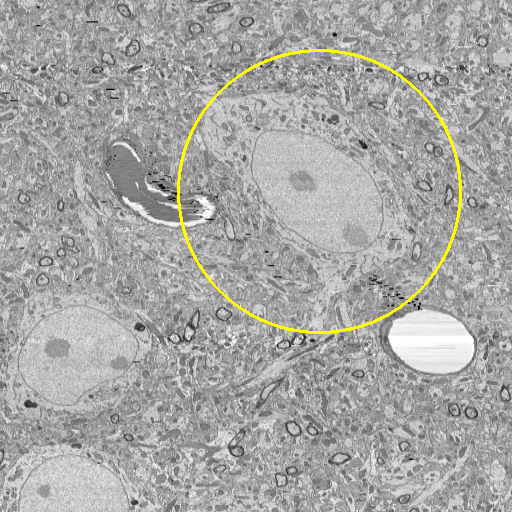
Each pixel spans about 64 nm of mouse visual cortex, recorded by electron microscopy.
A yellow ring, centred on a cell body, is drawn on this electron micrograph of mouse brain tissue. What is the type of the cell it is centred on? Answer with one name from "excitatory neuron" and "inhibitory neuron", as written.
excitatory neuron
